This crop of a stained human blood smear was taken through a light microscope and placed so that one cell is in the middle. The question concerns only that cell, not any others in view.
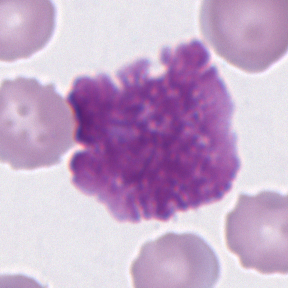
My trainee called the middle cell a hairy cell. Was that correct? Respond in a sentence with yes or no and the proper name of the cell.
No, the cell in the middle is a smudge cell, not a hairy cell.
